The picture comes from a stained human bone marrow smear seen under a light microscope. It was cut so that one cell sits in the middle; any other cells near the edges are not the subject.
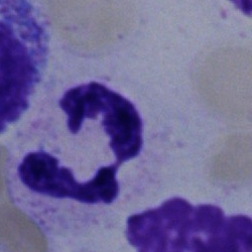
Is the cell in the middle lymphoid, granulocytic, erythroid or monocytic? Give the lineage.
granulocytic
